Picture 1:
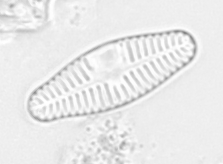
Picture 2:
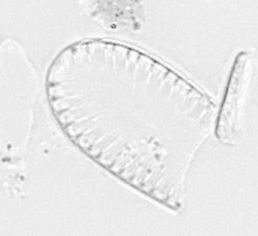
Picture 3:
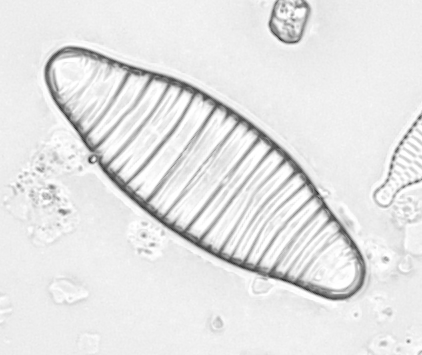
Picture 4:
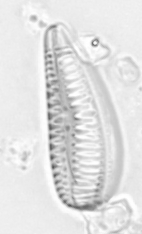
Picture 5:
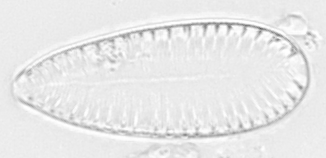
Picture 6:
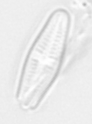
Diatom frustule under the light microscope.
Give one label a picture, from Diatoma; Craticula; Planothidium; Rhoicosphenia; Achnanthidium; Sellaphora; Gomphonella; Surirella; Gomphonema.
1: Planothidium
2: Surirella
3: Diatoma
4: Rhoicosphenia
5: Surirella
6: Achnanthidium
